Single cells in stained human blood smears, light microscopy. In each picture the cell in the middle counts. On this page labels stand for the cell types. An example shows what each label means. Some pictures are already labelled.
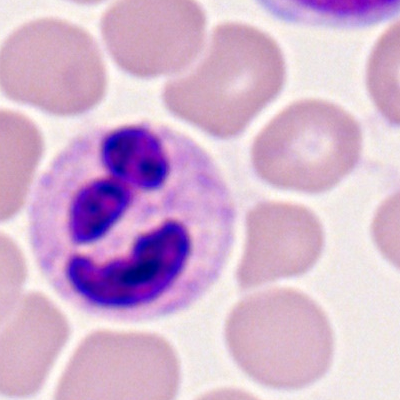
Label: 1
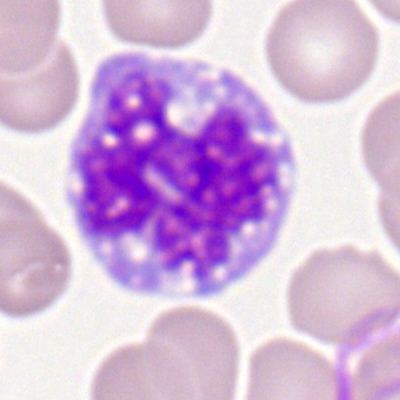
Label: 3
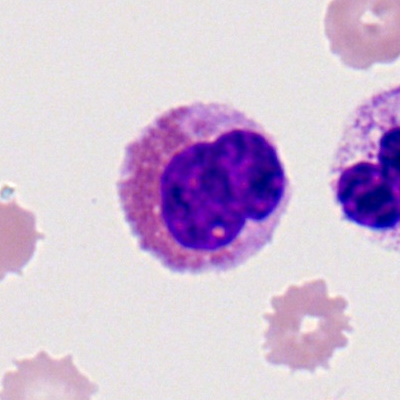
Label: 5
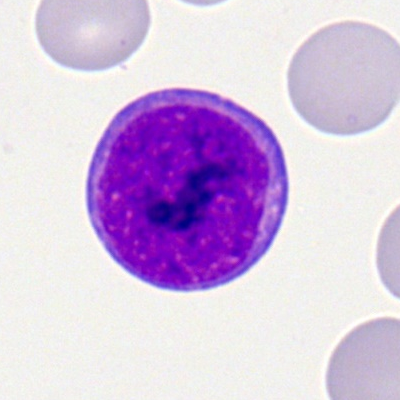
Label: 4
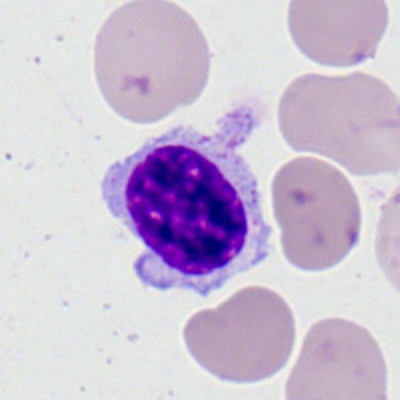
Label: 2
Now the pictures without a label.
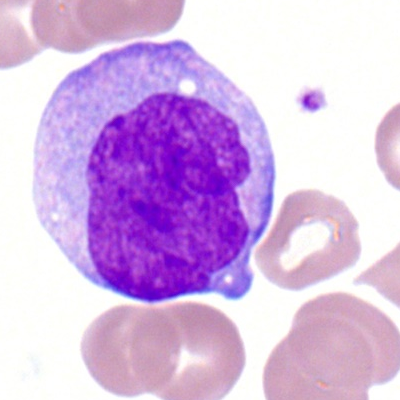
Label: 3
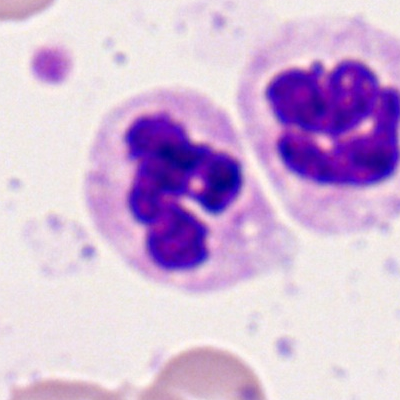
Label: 1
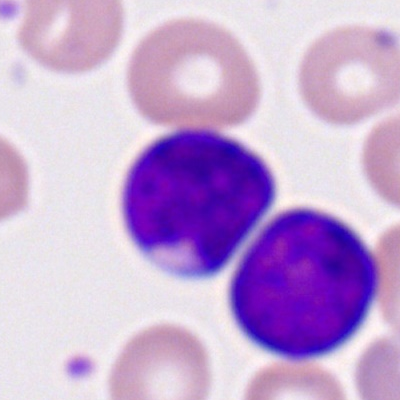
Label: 4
